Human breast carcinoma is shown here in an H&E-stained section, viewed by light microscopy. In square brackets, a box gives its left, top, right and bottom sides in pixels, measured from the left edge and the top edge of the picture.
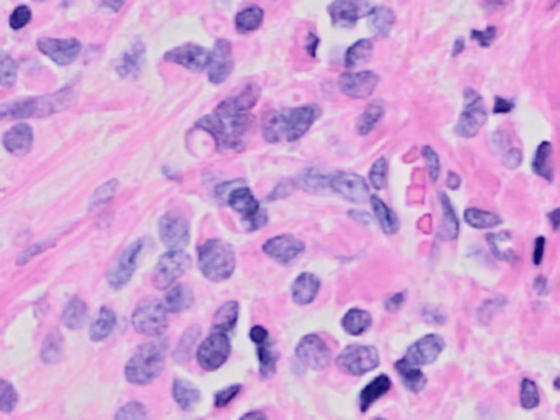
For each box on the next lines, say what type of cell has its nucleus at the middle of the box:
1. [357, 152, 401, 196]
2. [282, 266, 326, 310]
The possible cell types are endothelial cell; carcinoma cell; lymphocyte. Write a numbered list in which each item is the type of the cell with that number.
1. endothelial cell
2. carcinoma cell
